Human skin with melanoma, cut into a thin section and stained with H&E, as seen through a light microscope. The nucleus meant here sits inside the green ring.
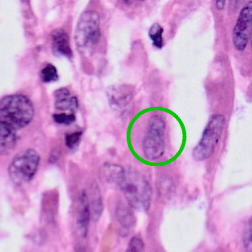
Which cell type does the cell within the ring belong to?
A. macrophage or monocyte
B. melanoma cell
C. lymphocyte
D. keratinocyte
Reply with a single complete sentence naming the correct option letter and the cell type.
In short, option B: the cell within the ring is a melanoma cell.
